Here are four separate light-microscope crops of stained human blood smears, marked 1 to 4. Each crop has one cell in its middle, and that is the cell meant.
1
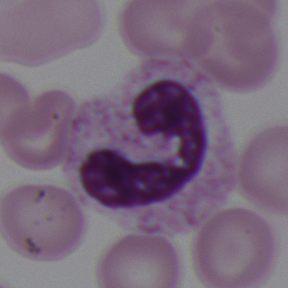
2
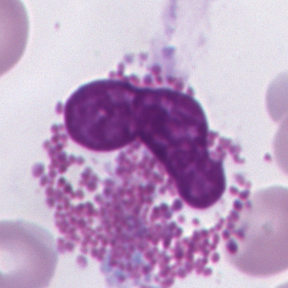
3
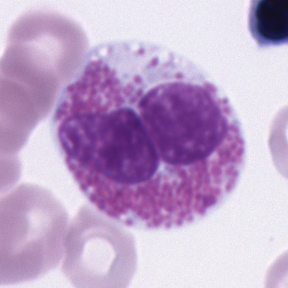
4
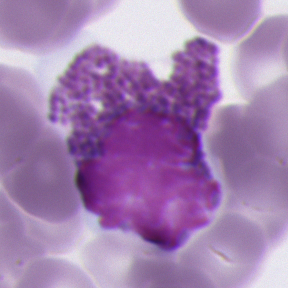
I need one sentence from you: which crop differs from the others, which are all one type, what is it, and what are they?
The exception is crop 1: it is a segmented neutrophil, and the others are all eosinophils.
